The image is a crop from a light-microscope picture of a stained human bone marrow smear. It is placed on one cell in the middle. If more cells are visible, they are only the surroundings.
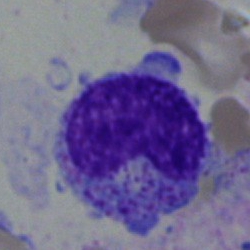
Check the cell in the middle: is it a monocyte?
no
